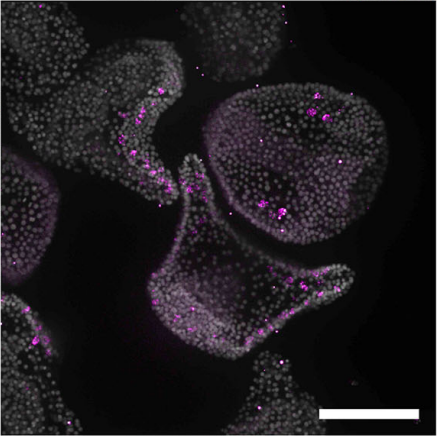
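Embryos of different stages are packed together, each made of an epithelium of tightly set small round grey nuclei. The rounded embryo at the upper right carries a faint pink haze with a few bright magenta clusters in its interior. The angular, later embryo in the middle has a thickened rim of epithelium, and bright magenta dots are strung out along this edge, marking individual cells spread through the ciliary band rather than grouped in one spot.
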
